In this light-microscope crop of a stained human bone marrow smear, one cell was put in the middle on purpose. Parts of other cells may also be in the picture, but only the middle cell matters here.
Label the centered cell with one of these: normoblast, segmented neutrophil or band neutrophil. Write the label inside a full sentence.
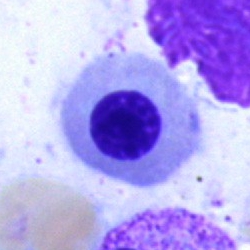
Whatever else lies nearby, the middle cell is a normoblast.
